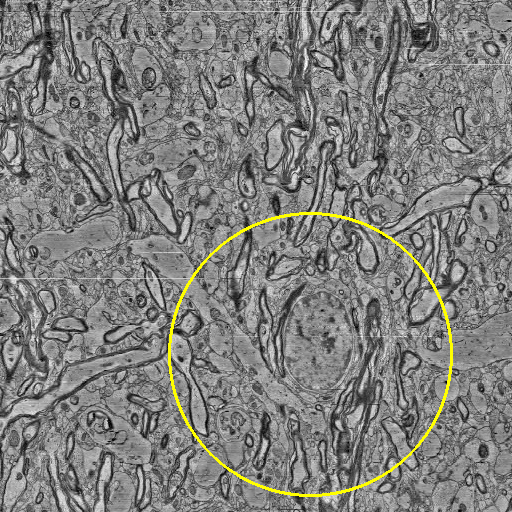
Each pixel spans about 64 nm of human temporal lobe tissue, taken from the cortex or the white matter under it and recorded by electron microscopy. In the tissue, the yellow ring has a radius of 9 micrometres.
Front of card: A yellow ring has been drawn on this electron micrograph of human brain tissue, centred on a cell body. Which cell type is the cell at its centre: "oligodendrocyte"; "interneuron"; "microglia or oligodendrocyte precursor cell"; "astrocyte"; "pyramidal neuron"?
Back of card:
microglia or oligodendrocyte precursor cell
